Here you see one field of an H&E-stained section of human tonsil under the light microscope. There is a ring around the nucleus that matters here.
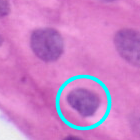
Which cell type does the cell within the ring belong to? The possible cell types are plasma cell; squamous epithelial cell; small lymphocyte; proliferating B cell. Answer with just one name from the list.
squamous epithelial cell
